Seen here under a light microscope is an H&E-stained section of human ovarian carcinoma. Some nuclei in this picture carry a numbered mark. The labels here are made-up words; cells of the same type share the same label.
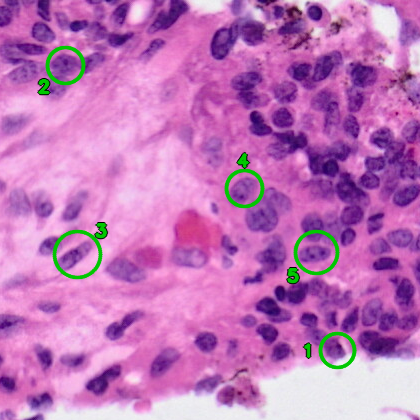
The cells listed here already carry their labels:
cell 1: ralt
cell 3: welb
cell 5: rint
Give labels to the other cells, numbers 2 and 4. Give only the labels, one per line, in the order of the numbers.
ralt
ralt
